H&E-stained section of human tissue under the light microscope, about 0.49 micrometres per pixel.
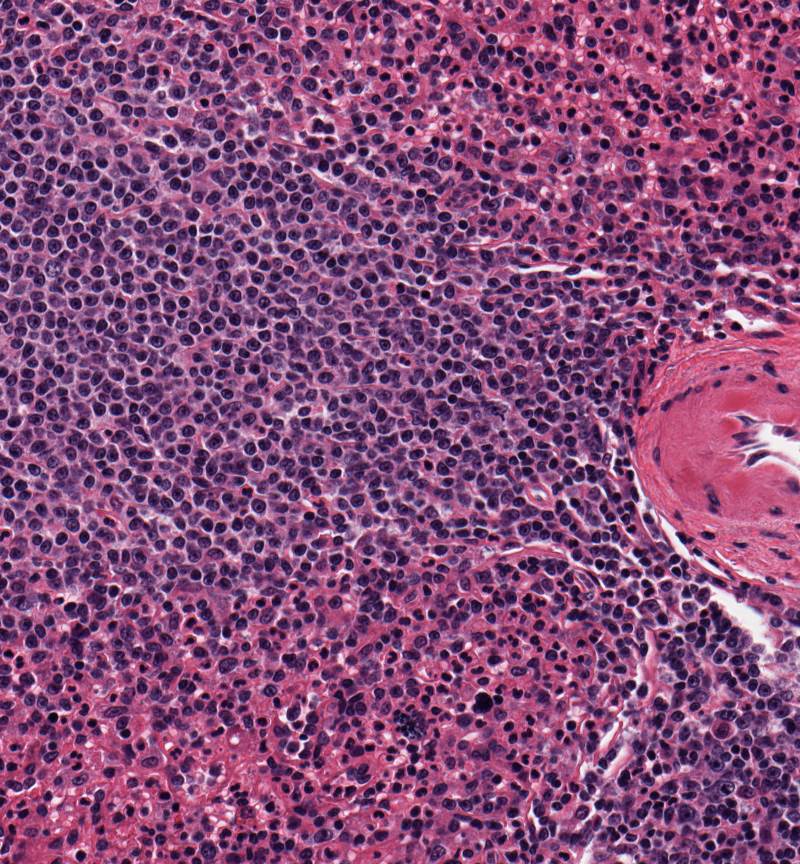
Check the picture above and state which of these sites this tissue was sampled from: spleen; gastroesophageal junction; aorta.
spleen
